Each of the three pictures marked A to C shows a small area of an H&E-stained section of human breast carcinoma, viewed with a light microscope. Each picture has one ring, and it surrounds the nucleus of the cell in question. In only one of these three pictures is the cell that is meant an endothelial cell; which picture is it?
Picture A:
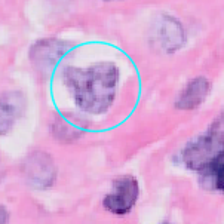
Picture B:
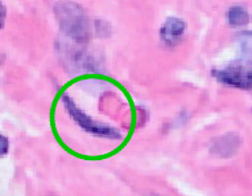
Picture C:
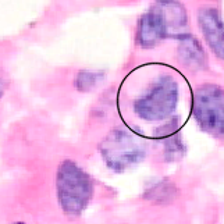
B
